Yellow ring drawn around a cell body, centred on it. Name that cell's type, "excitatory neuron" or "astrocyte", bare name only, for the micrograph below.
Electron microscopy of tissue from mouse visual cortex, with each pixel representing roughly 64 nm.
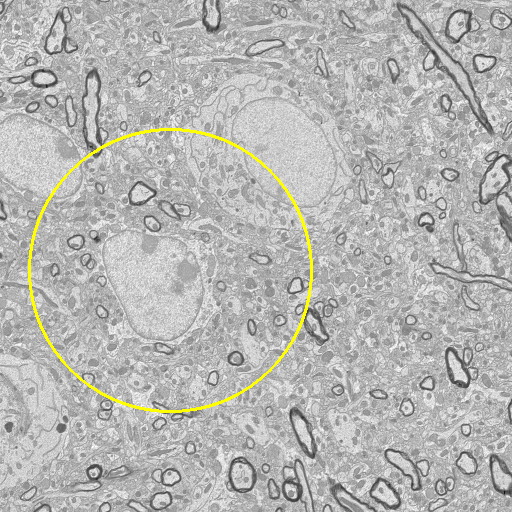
astrocyte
